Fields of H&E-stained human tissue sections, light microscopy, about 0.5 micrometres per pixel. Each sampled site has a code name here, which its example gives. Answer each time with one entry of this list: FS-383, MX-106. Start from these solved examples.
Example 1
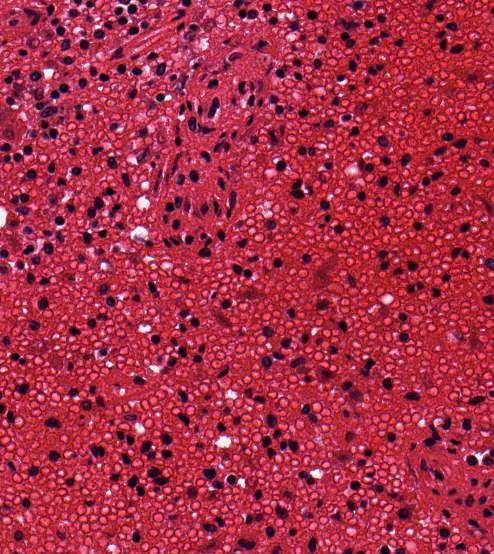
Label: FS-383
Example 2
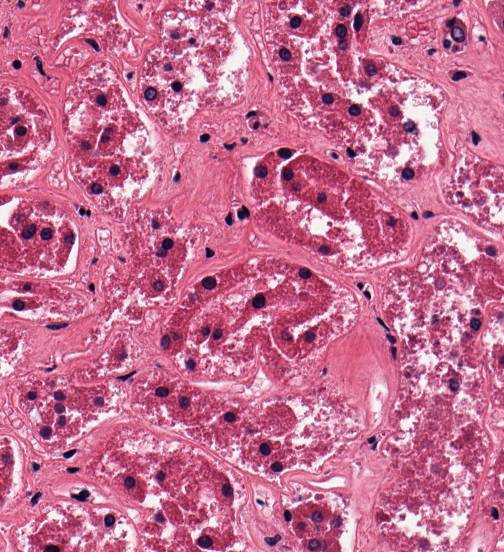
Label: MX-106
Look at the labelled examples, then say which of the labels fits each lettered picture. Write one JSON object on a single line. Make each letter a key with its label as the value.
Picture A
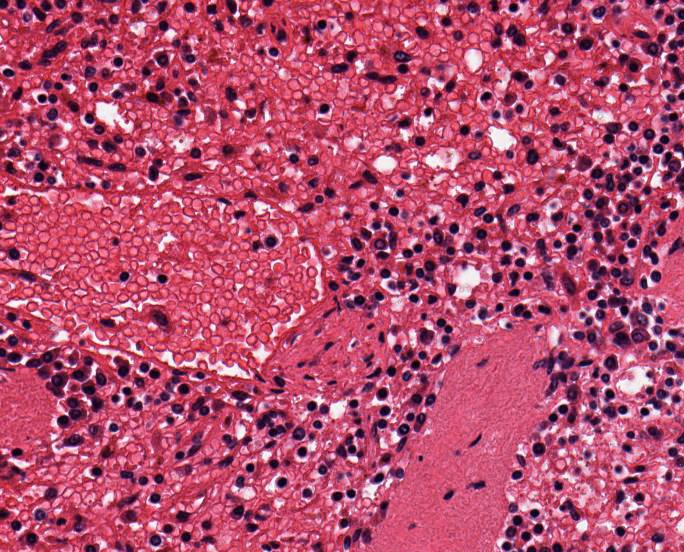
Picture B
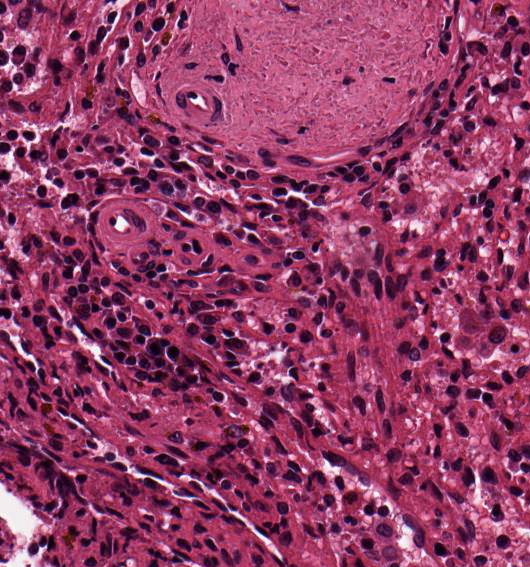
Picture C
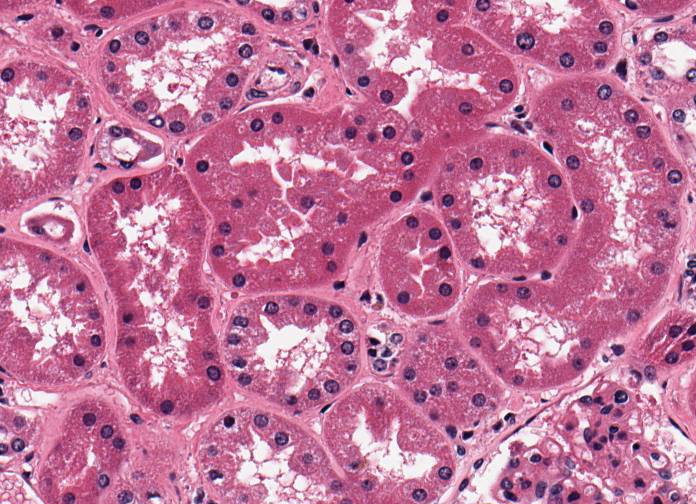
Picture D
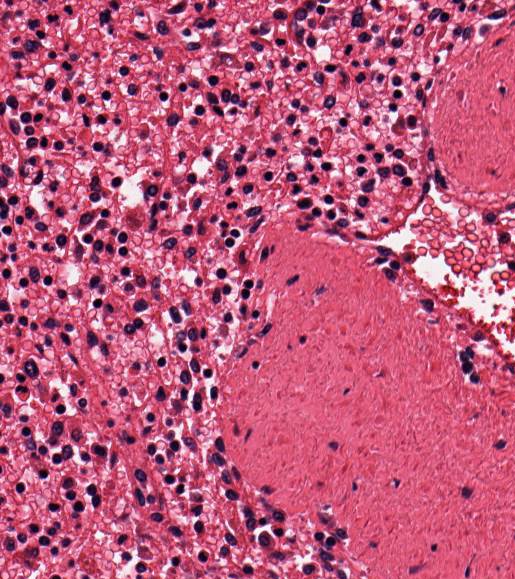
{"A": "FS-383", "B": "FS-383", "C": "MX-106", "D": "FS-383"}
